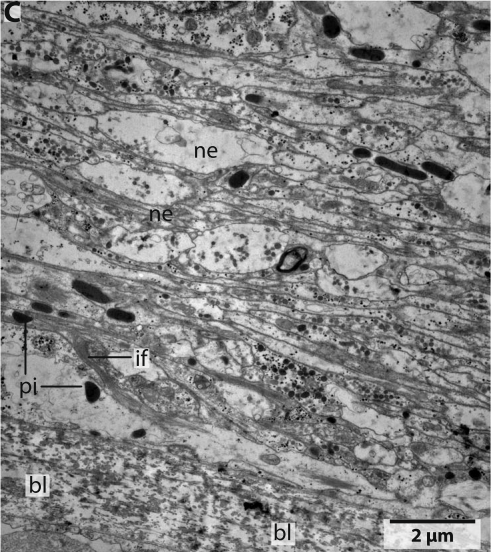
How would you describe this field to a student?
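Deep neuropil with densely packed, mostly longitudinally cut pale neurite profiles containing small dark vesicles, lying directly on a granular basal lamina at the bottom. Strands of filaments run among the neurites, and scattered elongated dark pigment granules are present.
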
